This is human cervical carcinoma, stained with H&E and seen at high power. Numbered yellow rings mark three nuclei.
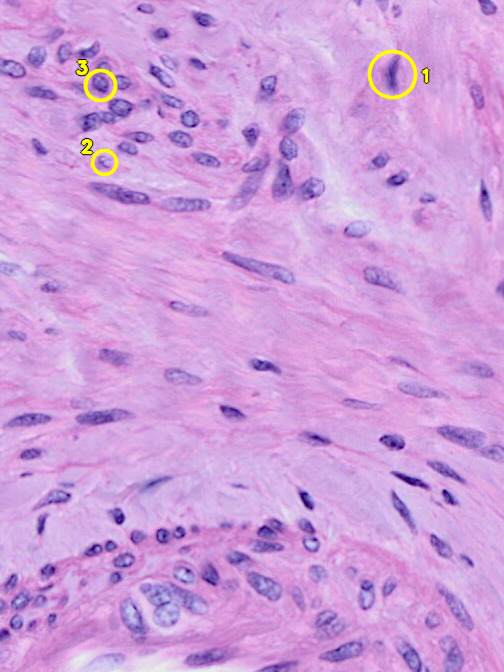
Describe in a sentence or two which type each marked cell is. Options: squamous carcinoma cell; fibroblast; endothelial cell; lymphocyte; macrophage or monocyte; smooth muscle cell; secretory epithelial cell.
Cell 1 is a fibroblast, cell 2 is a smooth muscle cell and cell 3 is a smooth muscle cell.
